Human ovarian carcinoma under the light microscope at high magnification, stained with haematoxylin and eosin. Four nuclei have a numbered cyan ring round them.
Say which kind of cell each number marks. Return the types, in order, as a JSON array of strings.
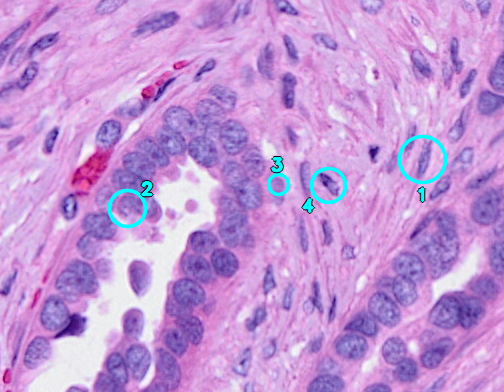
["fibroblast", "carcinoma cell", "fibroblast", "fibroblast"]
